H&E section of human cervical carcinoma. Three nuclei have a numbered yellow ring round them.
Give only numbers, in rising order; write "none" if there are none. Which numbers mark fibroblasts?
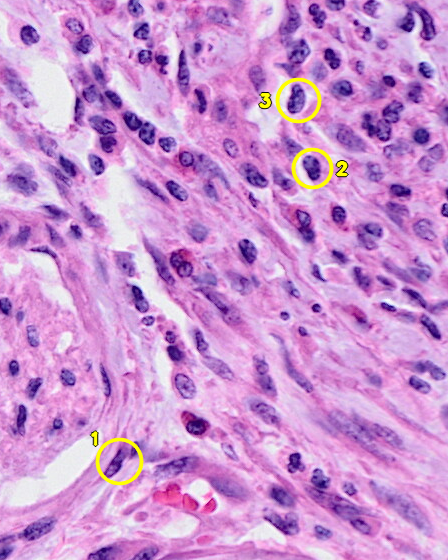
1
